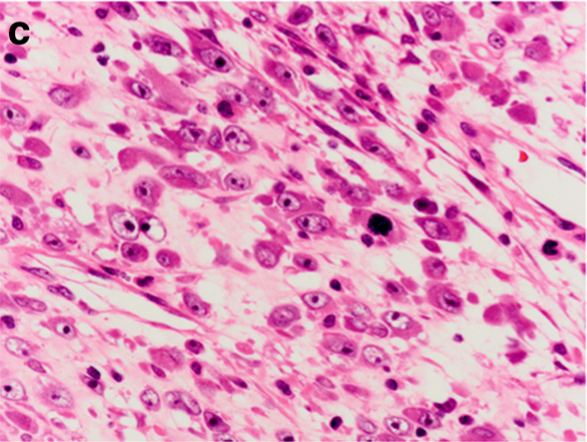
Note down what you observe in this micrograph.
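Large epithelioid tumor cells are seen at high magnification, lying loosely in a pale pink background with some elongated cells among them. Their nuclei are large, round to oval and vesicular, with pale open chromatin and a sharp nuclear outline, and many hold a single large, prominent nucleolus. The cytoplasm is ample and purplish-pink to bluish. A dark, clumped nucleus stands out near the centre, and small dark-nucleated cells are scattered between the tumor cells.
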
